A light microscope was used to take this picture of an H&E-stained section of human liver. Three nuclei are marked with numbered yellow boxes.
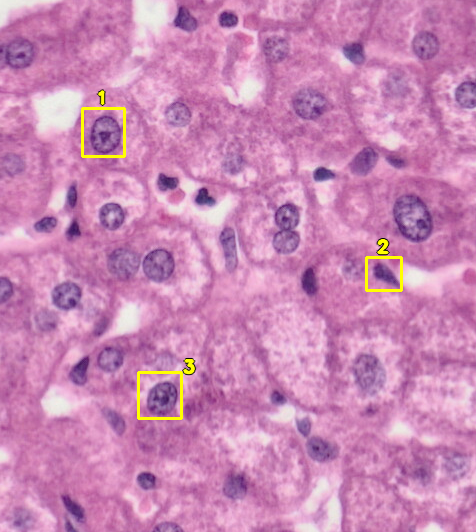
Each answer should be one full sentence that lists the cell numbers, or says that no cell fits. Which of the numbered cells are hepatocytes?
In short, the numbered cells 1 and 3 are hepatocytes.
